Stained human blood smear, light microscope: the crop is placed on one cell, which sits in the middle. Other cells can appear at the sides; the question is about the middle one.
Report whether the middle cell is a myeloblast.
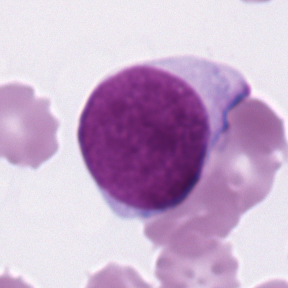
yes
